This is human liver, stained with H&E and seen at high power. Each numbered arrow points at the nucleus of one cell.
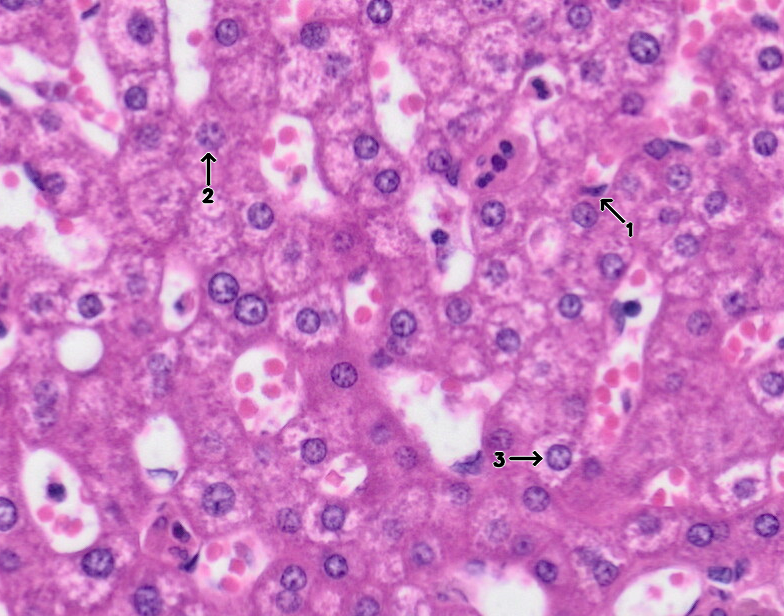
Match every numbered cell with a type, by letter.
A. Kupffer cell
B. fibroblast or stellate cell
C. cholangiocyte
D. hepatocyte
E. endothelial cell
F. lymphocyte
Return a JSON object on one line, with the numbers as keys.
{"1": "E", "2": "D", "3": "D"}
